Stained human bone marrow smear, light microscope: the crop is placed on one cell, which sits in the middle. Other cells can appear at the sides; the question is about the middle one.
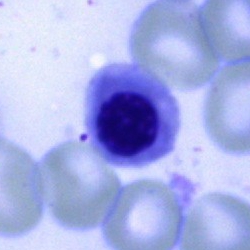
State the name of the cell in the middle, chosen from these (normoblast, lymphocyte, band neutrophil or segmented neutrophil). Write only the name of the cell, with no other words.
normoblast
